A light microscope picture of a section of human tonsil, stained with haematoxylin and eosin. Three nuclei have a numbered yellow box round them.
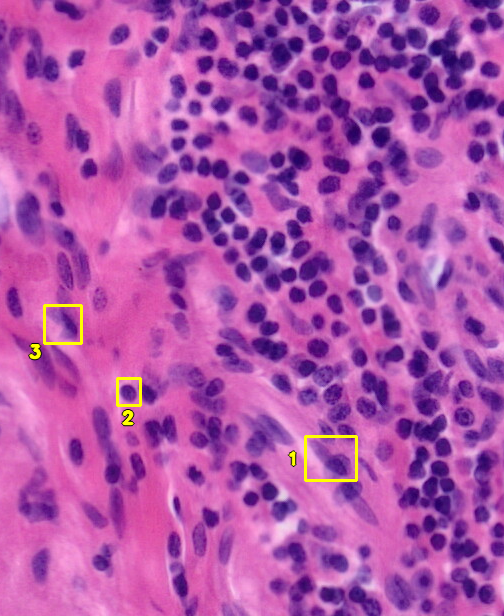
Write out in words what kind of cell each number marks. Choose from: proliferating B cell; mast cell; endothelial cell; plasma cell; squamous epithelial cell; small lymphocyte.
Cell 1 is an endothelial cell, cell 2 is a mast cell and cell 3 is an endothelial cell.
